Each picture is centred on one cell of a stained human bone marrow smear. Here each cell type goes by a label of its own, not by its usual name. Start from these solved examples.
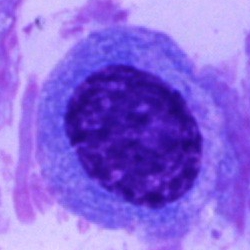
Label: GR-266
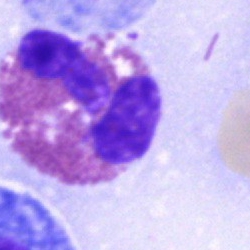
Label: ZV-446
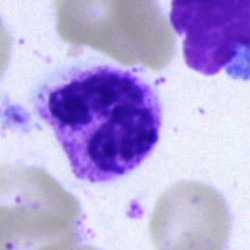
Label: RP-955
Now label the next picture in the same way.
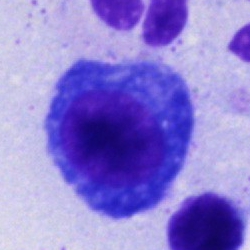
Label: GR-266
